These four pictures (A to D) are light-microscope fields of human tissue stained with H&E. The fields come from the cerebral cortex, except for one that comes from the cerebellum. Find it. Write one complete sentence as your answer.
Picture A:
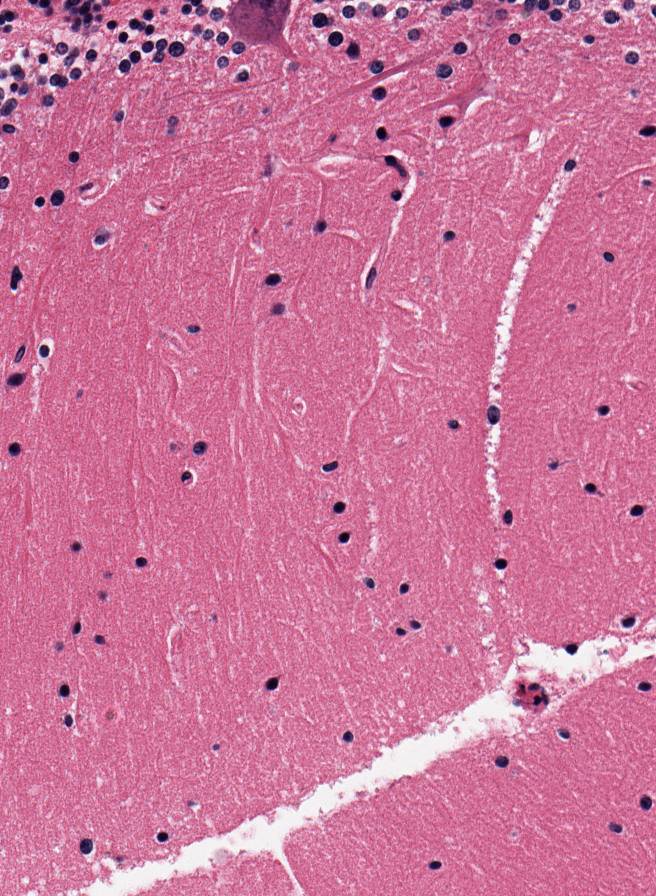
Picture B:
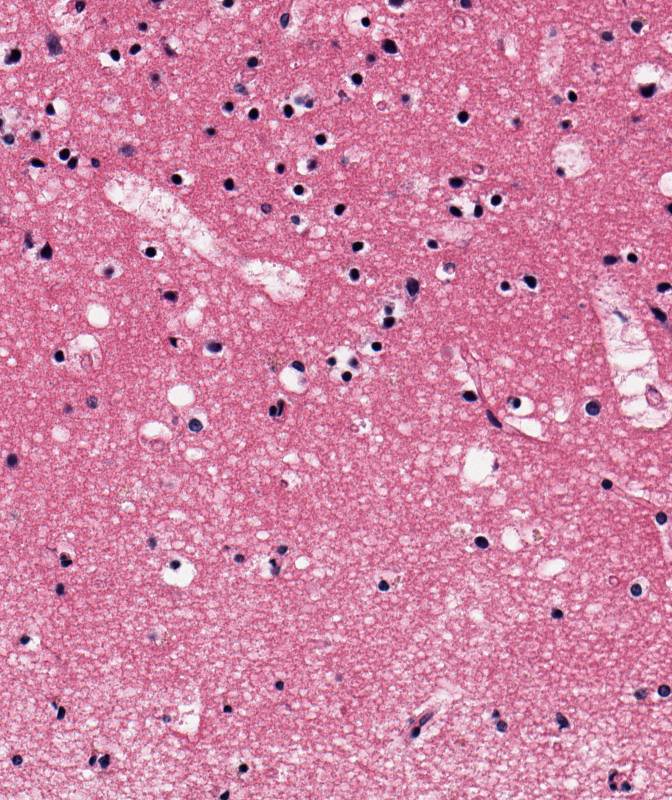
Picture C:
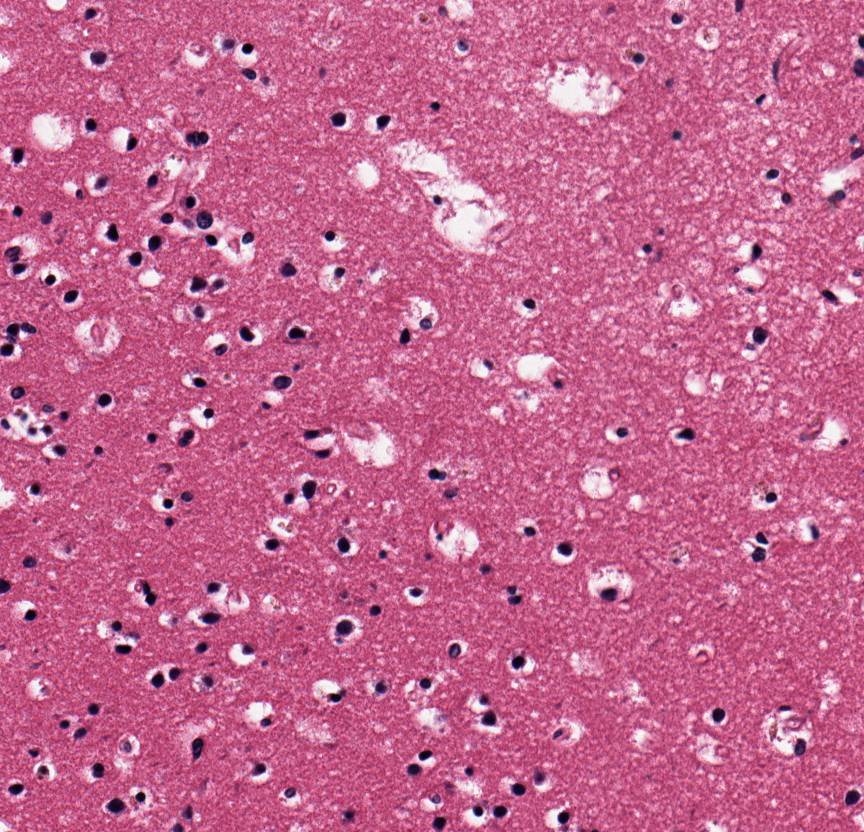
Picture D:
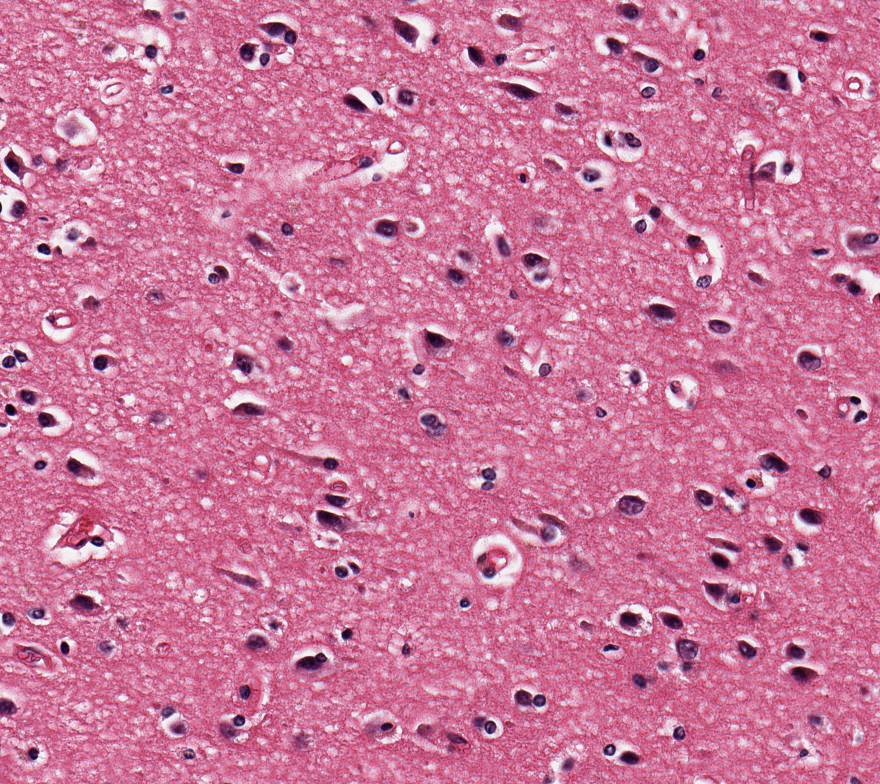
It is picture A that comes from the cerebellum.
